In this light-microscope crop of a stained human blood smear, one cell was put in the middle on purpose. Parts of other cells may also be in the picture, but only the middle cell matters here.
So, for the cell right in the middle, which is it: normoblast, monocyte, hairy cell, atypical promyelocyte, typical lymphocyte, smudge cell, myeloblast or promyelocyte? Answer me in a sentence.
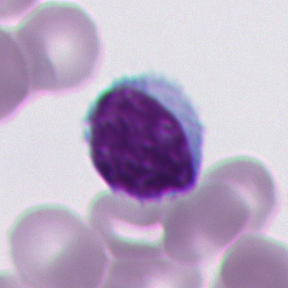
The single cell at the center of the crop is a typical lymphocyte.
